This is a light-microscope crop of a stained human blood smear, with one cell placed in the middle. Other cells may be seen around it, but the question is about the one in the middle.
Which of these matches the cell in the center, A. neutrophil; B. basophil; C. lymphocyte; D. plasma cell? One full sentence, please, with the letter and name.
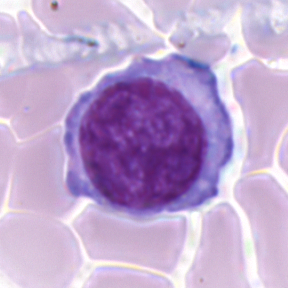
The central cell is a plasma cell, which makes option D the right answer.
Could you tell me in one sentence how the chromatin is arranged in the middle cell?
What stands out is fine chromatin lacking any coarse clumps.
